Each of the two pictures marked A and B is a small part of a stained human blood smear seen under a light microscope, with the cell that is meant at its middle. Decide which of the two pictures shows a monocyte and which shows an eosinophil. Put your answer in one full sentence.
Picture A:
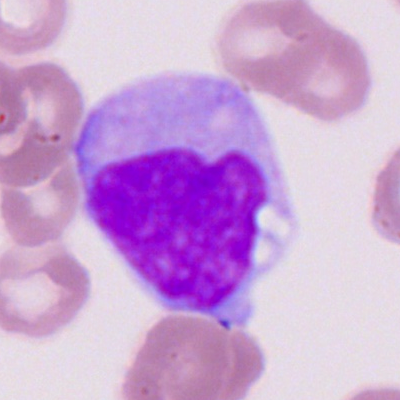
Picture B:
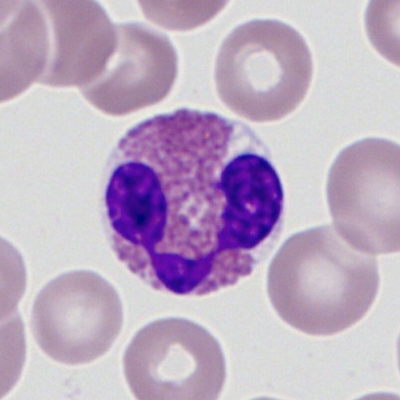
Picture A is of a monocyte, and picture B is of an eosinophil.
